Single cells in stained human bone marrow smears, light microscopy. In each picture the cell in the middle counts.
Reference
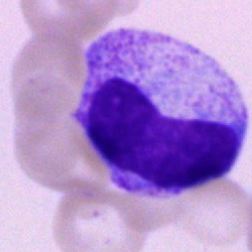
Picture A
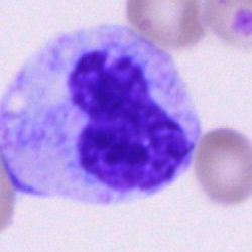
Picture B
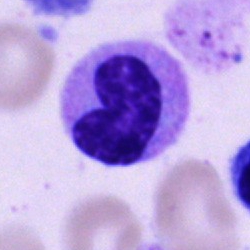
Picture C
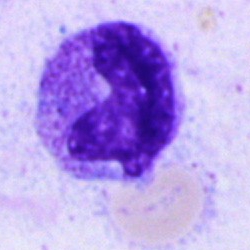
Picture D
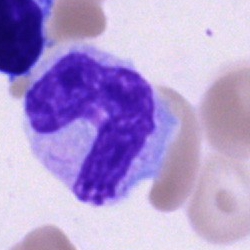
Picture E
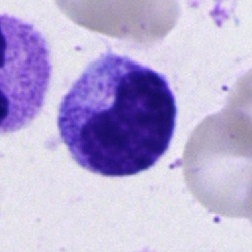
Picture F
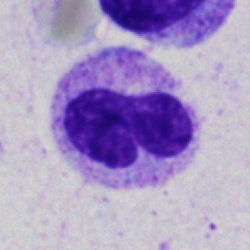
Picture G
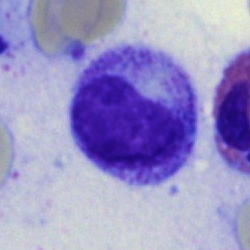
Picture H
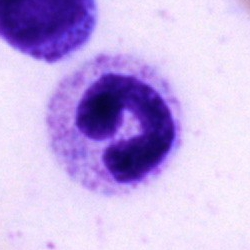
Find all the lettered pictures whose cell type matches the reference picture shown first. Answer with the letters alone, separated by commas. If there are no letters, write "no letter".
A, B, E, G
